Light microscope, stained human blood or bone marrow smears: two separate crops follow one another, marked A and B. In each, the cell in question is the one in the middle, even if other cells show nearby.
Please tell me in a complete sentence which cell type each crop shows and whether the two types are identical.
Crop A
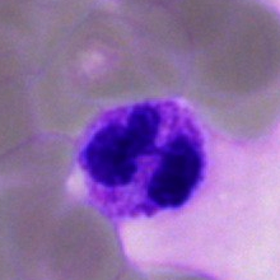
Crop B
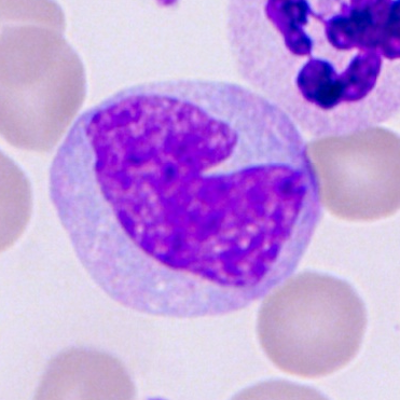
No, crop A has a neutrophil in the middle, and crop B has a monocyte.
